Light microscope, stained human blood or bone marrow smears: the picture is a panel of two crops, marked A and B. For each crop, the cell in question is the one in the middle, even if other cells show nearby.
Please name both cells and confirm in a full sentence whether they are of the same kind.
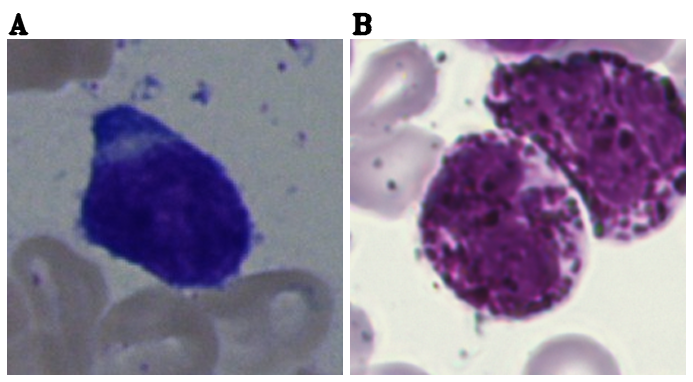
No, it is crop A that shows a lymphocyte, and crop B that shows a basophil.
